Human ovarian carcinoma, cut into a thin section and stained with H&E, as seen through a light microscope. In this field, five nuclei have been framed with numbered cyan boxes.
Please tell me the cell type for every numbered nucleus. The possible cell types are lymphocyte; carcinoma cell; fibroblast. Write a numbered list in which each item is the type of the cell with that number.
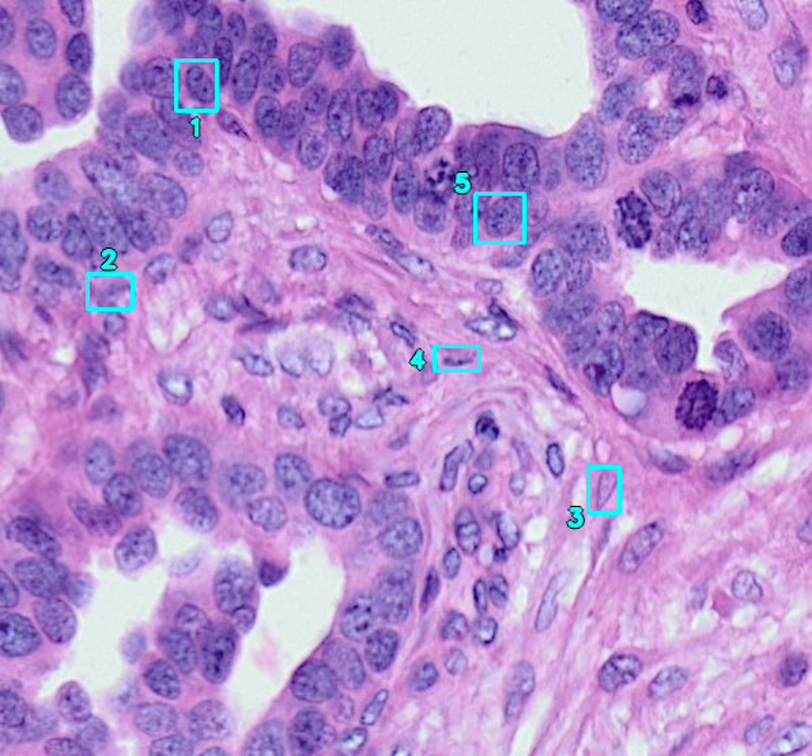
1. carcinoma cell
2. fibroblast
3. fibroblast
4. fibroblast
5. carcinoma cell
